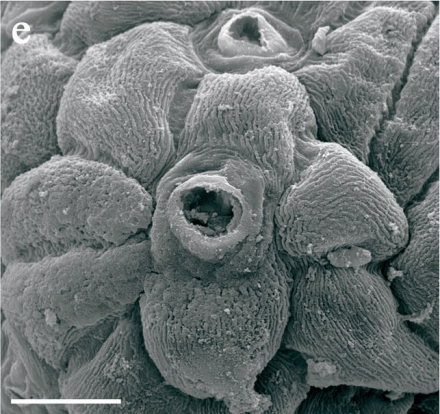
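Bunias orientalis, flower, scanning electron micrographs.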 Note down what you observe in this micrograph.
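A close view of the nectary epidermis shows a stoma surrounded by a rosette of bulging epidermal cells. The stoma has a round, open pore with a thickened rim at the centre. The surrounding cells have wrinkled, striated cuticular surfaces, and another pore is visible near the top.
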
